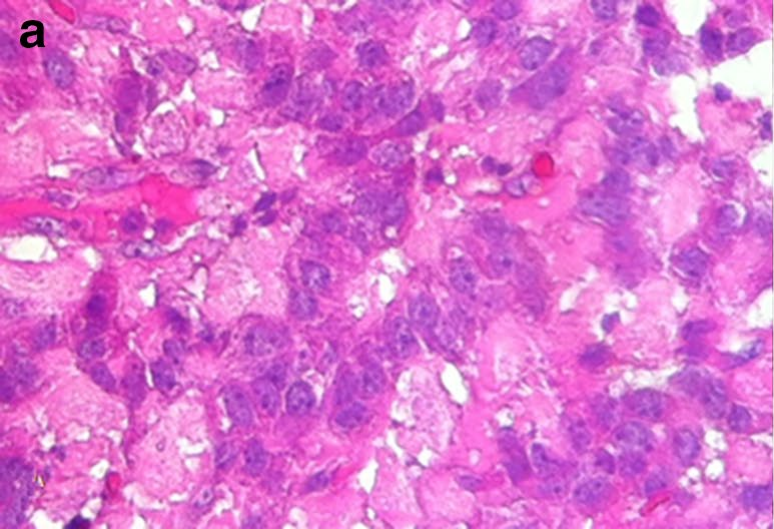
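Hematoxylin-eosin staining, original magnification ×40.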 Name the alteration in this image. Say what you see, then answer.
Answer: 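Crowded sheets and clusters of atypical cells fill the field. Nuclei are large, round to oval, with visible nucleoli. No normal tissue architecture is recognisable. The answer: Tumor proliferation.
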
